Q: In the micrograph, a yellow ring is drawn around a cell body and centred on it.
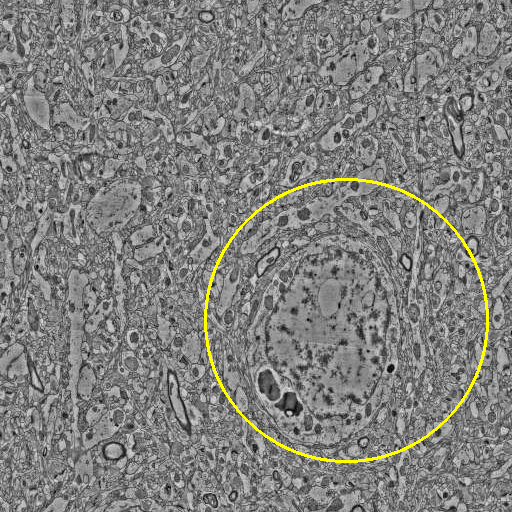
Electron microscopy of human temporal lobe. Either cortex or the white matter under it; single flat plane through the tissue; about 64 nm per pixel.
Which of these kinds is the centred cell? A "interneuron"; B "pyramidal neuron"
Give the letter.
A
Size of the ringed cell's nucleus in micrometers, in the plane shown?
The nucleus works out at approximately 11 by 8 micrometres in this plane.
